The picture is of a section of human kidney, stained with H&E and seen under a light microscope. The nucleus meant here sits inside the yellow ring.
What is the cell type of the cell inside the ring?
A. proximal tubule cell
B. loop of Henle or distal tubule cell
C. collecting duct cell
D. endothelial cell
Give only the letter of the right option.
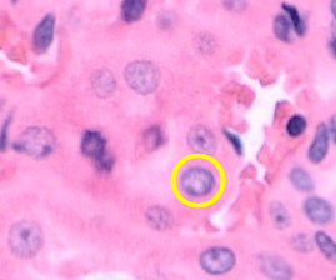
A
